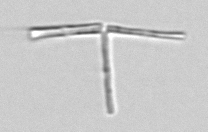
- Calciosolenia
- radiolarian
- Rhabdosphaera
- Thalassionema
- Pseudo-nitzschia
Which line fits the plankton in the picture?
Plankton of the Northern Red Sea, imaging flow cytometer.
Thalassionema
